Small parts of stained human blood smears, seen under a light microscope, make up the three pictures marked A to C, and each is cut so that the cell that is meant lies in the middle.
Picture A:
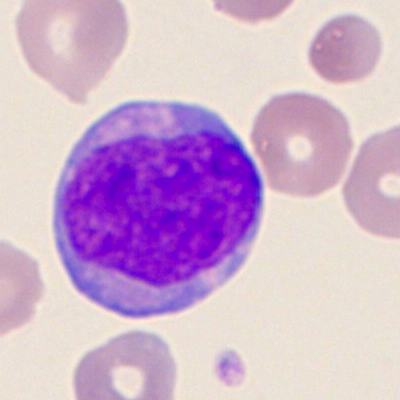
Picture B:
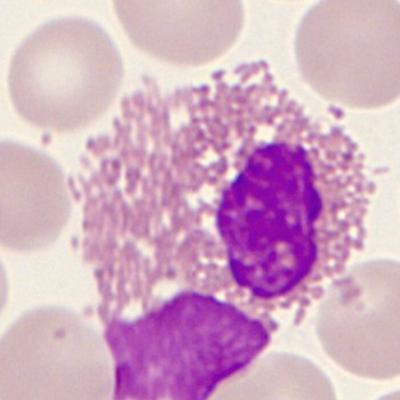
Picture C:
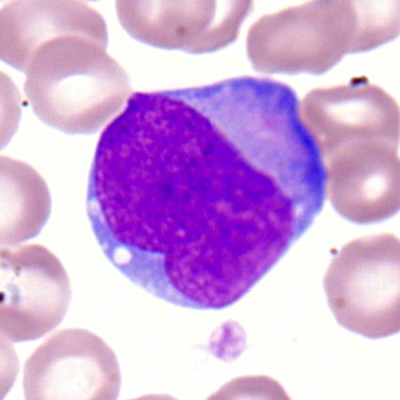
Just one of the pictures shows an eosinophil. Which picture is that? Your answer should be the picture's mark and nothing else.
B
